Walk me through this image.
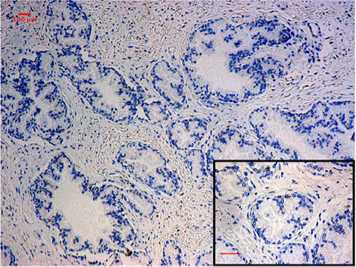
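Prostatic tissue with rounded glands whose epithelial lining forms small infoldings around open lumens. The epithelial cells show blue nuclei with little or no brown staining, and the glands lie in a pale stroma containing scattered spindle-shaped nuclei. The inset shows one gland with its lining epithelium at higher magnification.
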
